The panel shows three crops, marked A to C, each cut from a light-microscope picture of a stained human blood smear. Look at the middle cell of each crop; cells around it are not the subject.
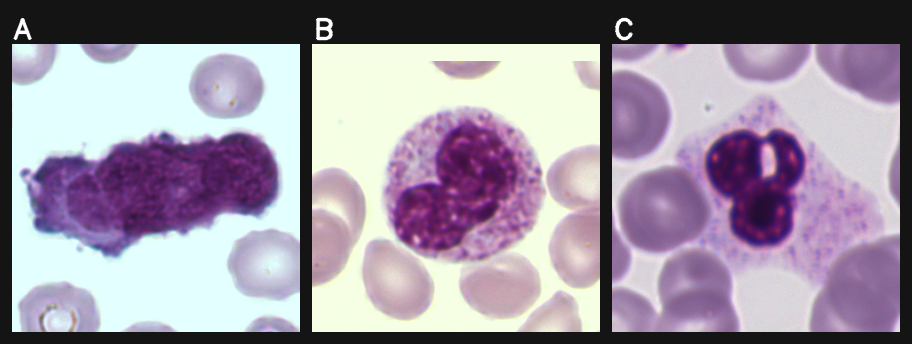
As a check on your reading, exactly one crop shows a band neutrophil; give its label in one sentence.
It is crop B that shows a band neutrophil.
